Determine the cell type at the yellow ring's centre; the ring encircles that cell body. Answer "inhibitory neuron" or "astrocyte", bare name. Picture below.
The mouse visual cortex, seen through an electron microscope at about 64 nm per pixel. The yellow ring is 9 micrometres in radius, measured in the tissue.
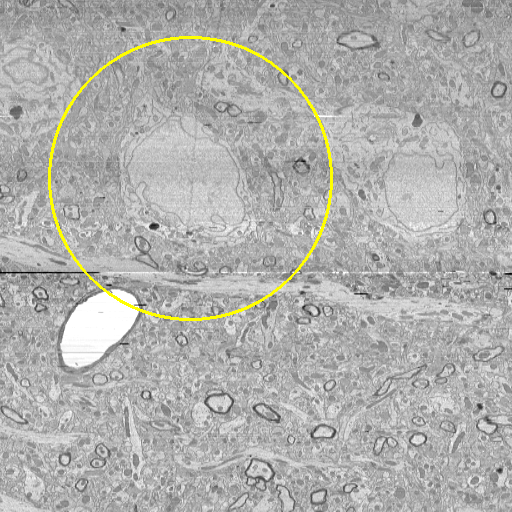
inhibitory neuron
